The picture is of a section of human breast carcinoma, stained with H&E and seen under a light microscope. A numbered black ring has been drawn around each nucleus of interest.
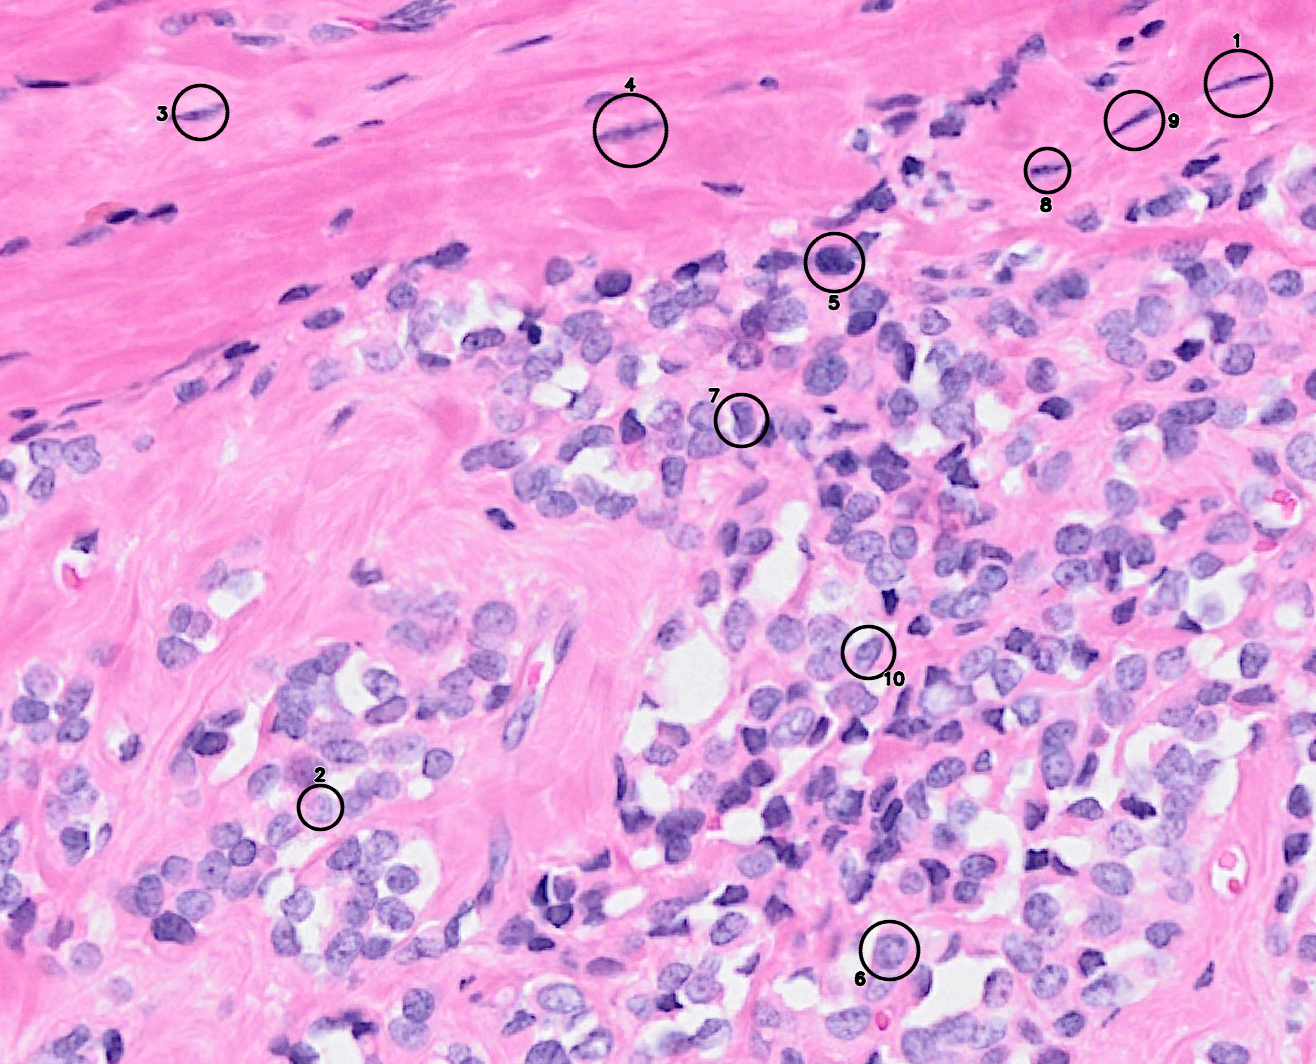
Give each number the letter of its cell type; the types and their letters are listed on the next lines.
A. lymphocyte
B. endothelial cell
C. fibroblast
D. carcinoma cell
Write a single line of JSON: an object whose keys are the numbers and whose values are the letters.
{"1": "C", "2": "D", "3": "C", "4": "C", "5": "D", "6": "D", "7": "D", "8": "C", "9": "C", "10": "D"}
